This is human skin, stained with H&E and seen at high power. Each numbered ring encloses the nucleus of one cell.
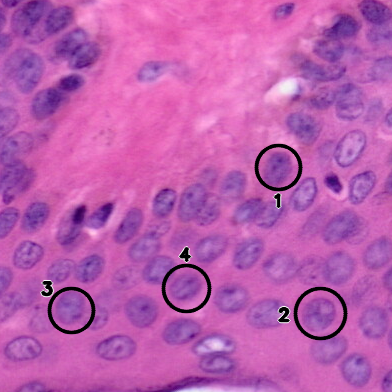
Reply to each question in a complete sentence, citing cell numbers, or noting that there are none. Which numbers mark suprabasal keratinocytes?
In this section, the cells numbered 2, 3 and 4 are suprabasal keratinocytes.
